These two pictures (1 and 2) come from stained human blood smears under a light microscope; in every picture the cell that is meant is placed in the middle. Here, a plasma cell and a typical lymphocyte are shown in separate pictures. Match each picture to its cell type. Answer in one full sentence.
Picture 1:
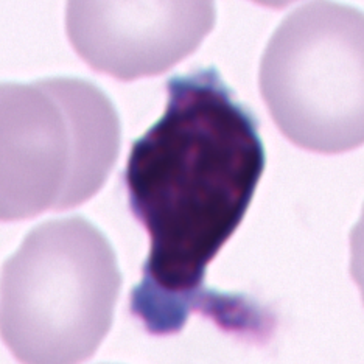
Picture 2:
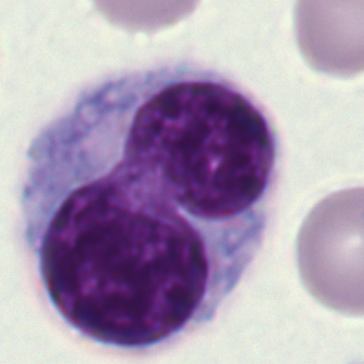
In picture 1 the cell is a typical lymphocyte; in picture 2, a plasma cell.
